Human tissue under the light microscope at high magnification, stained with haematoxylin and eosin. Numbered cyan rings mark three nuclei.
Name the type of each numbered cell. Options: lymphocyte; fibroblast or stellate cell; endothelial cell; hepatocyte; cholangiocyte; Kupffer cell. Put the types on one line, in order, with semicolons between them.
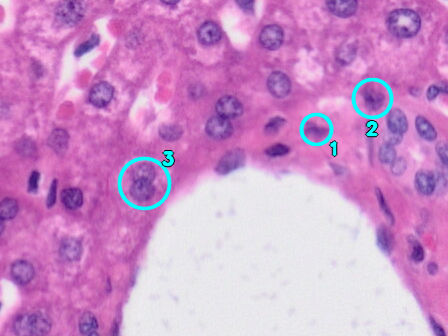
fibroblast or stellate cell; fibroblast or stellate cell; hepatocyte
